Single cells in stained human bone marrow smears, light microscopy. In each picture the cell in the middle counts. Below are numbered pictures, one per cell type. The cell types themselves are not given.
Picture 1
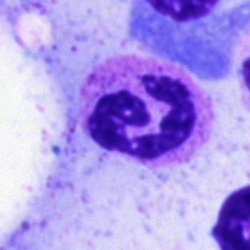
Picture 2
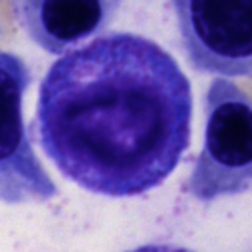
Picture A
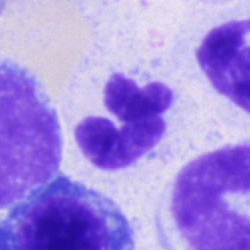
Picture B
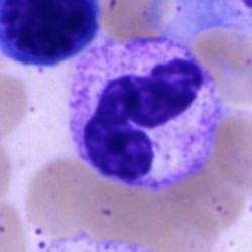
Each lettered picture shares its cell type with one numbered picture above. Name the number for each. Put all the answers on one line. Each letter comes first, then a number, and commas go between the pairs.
A 1, B 1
